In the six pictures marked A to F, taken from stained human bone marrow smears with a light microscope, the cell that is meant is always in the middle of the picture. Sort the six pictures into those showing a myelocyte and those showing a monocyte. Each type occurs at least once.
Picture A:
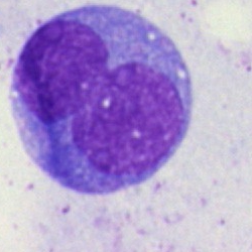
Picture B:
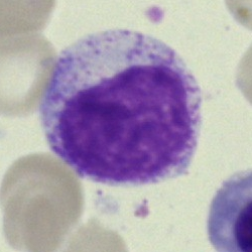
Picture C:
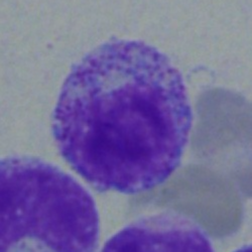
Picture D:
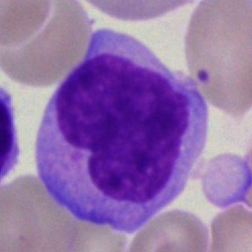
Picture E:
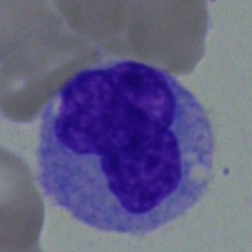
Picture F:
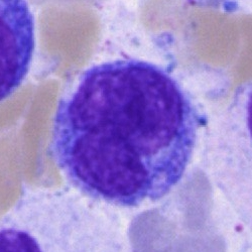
A: monocyte
B: myelocyte
C: myelocyte
D: monocyte
E: monocyte
F: monocyte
